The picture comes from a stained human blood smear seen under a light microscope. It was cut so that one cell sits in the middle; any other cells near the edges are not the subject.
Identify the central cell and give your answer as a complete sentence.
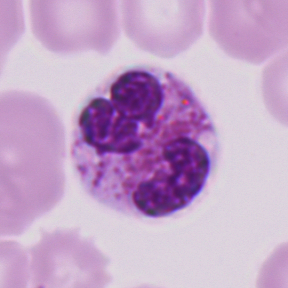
The cell at the middle of the frame should be recorded as an eosinophil.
